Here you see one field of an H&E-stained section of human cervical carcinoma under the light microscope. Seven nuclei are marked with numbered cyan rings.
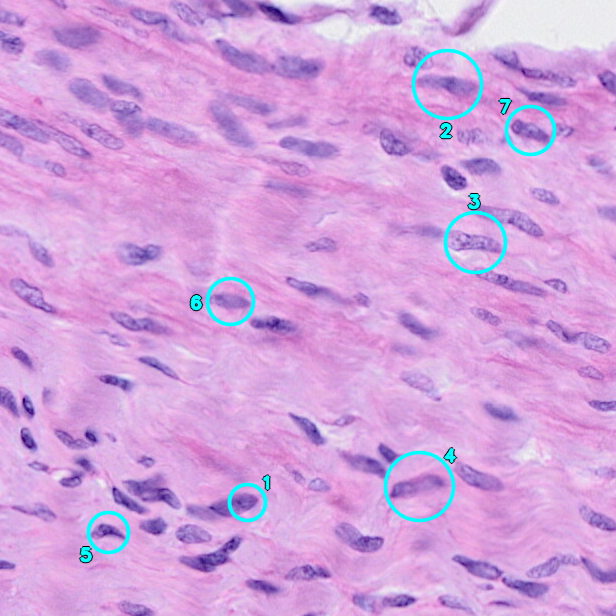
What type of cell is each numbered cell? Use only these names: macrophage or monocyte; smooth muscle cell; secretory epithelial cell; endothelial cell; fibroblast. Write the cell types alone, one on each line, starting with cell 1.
fibroblast
smooth muscle cell
fibroblast
smooth muscle cell
fibroblast
smooth muscle cell
smooth muscle cell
